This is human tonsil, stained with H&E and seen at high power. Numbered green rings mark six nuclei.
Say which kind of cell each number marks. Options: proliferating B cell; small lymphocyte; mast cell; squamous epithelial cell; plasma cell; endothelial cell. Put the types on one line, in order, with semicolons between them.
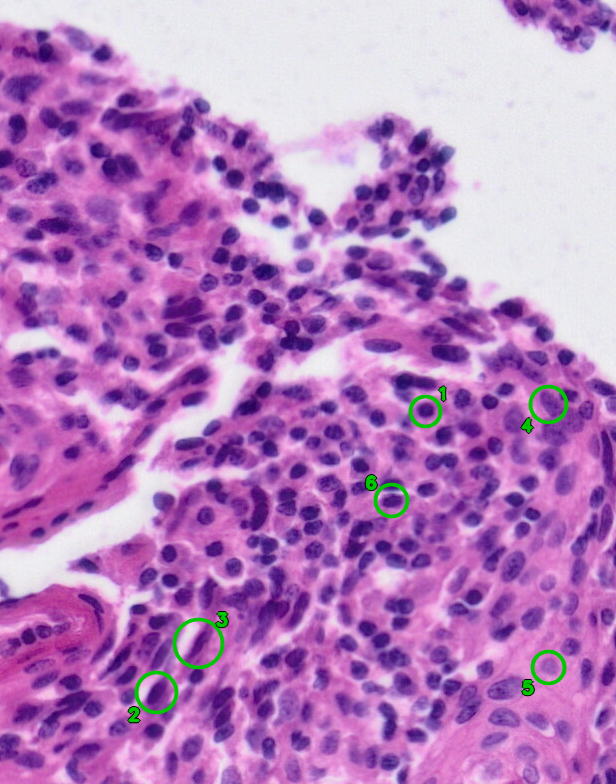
plasma cell; squamous epithelial cell; squamous epithelial cell; squamous epithelial cell; squamous epithelial cell; plasma cell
